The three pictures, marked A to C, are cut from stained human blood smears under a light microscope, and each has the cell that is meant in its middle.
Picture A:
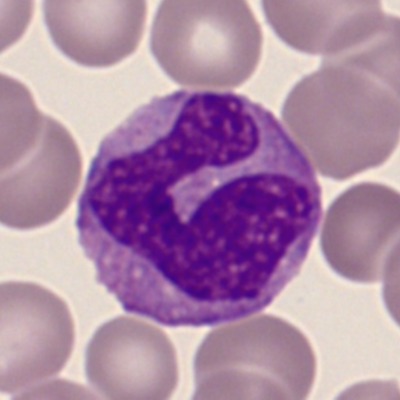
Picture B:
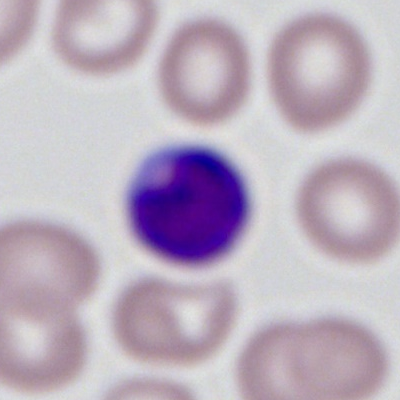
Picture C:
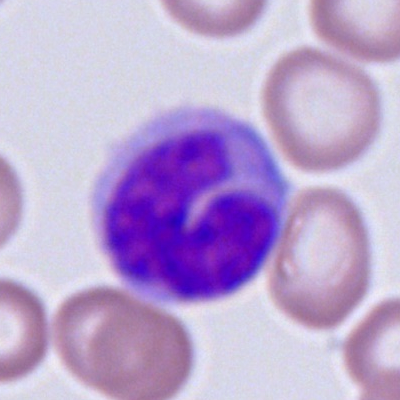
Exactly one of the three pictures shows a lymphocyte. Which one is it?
B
